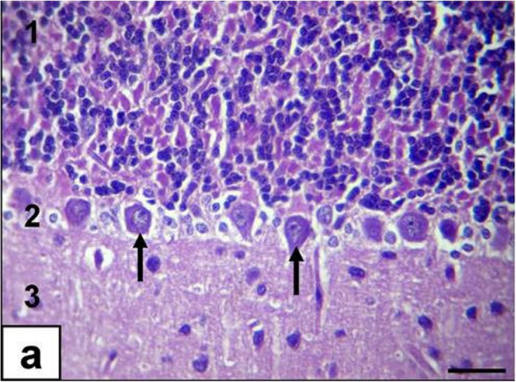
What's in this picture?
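This is cerebellar cortex with its three layers stacked from top to bottom. Above lies the granular layer, a dense crowd of small, round, dark-blue nuclei with little cytoplasm between them. At its lower edge runs a single row of large Purkinje cells whose flask-shaped bodies have pale pink-purple cytoplasm and round, clear nuclei with a distinct nucleolus.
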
